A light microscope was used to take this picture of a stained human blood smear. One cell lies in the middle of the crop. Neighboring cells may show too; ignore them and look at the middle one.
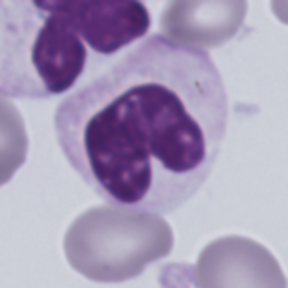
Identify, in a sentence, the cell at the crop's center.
In the centre of this crop there is a band neutrophil.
